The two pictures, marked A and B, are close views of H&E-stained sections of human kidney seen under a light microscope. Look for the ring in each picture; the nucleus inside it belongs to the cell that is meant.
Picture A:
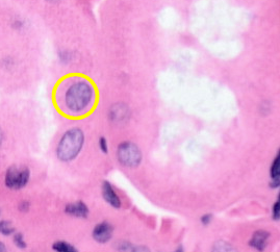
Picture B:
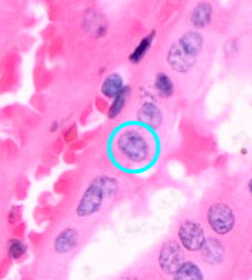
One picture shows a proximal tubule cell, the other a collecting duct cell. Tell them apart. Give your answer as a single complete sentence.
Picture B shows a collecting duct cell, while picture A shows a proximal tubule cell.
